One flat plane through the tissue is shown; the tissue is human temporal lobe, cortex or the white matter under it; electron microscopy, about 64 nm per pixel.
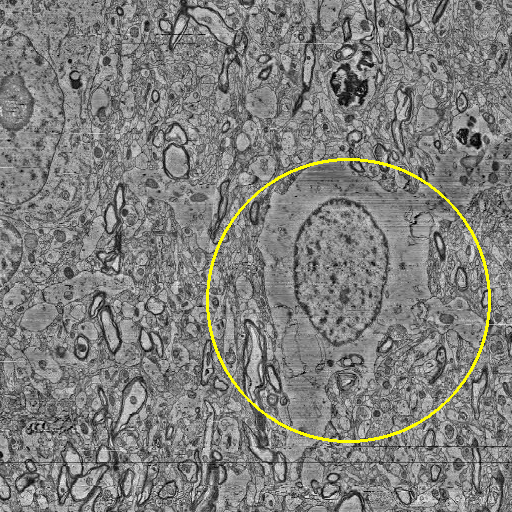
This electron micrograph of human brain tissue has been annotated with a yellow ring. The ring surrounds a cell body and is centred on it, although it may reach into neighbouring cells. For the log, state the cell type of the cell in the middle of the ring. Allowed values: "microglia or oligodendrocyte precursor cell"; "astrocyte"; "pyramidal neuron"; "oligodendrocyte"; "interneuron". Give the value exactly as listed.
astrocyte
